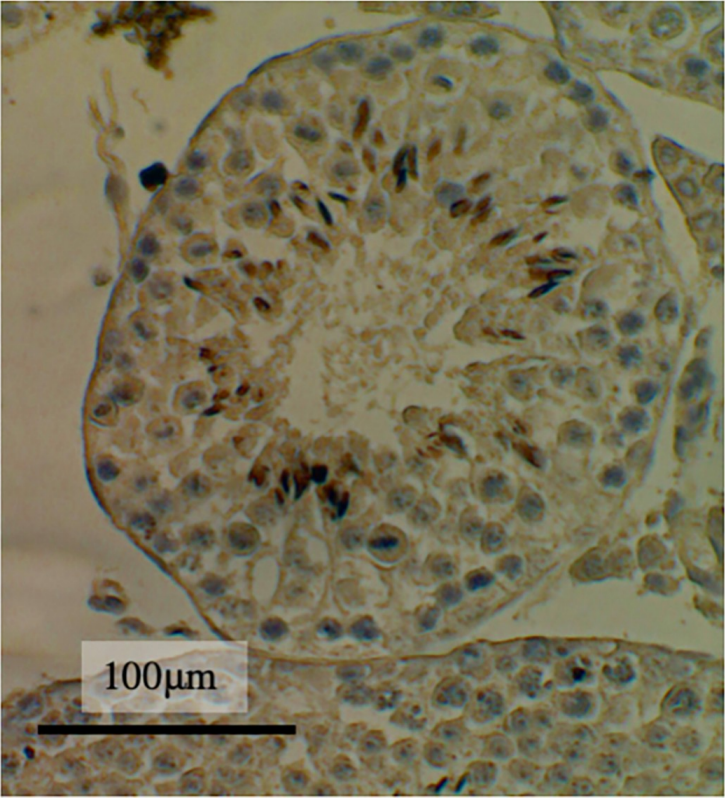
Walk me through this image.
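A cross-section of a seminiferous tubule shows a stratified epithelium of germ cells with blue-stained round nuclei, resting on a thin boundary around its outer edge. Toward the central lumen, small elongated spermatids with dark brown staining lie in bundles pointing into the lumen, while the round-nucleused cells of the deeper layers remain unstained.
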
